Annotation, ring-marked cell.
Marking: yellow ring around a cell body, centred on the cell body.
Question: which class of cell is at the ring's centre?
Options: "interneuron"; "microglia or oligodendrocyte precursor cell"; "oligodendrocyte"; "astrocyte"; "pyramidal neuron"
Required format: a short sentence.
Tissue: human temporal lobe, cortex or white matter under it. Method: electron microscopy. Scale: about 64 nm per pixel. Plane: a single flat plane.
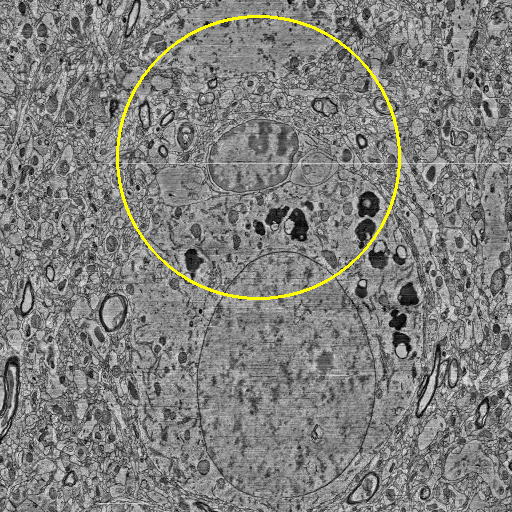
At the ring's centre is a microglial cell or oligodendrocyte precursor cell.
